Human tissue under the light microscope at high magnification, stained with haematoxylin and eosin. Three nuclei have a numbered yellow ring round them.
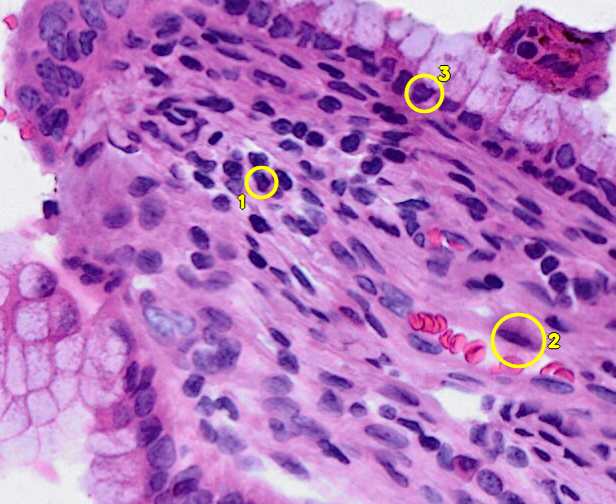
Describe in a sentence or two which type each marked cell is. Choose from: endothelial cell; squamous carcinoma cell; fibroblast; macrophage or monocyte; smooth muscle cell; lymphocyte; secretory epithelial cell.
Cell 1 is a lymphocyte. Cell 2 is an endothelial cell. Cell 3 is a secretory epithelial cell.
